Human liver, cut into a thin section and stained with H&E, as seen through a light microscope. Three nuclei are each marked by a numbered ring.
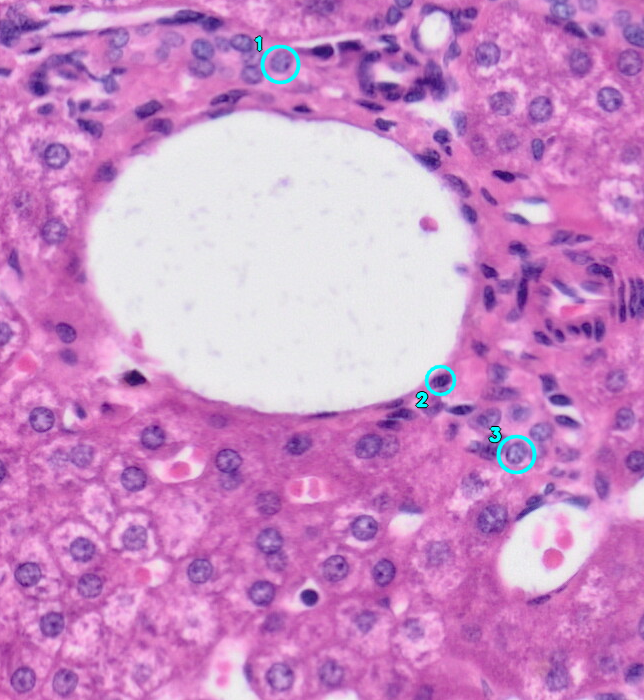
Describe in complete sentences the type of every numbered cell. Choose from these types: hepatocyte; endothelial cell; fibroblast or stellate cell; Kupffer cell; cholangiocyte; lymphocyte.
Cell 1 is a cholangiocyte, cell 2 is a fibroblast or stellate cell and cell 3 is a cholangiocyte.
